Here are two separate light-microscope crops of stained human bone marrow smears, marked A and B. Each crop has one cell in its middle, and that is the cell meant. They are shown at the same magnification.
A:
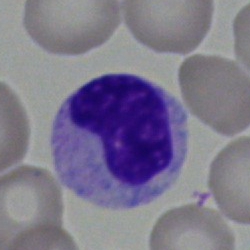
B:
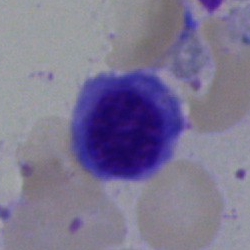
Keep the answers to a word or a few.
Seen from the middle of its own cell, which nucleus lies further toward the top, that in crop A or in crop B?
A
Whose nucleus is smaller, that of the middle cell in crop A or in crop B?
B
